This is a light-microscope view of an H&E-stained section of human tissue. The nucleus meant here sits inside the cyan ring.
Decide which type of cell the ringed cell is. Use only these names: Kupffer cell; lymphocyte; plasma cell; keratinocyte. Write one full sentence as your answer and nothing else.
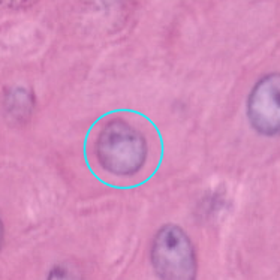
Histopathologically, the ringed cell is a keratinocyte.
